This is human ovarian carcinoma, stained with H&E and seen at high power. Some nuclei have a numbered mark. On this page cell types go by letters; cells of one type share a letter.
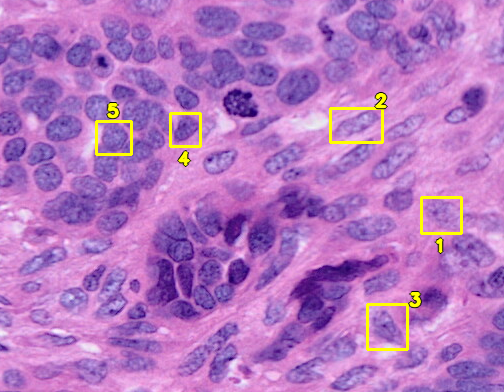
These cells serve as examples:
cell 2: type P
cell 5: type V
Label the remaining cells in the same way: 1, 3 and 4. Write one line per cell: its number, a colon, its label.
1: type P
3: type P
4: type V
